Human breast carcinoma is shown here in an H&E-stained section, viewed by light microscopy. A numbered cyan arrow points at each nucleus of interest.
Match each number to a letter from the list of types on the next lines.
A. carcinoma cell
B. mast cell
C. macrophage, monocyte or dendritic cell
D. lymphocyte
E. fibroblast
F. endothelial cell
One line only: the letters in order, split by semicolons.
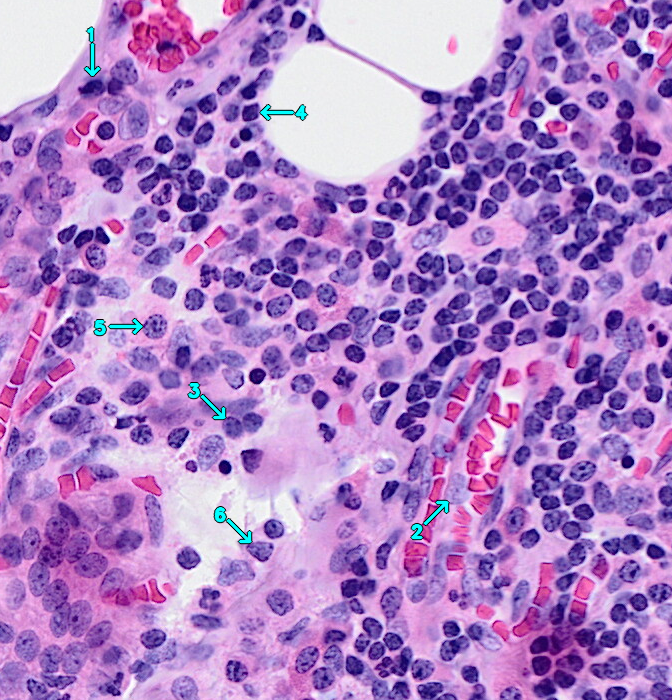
D; F; D; D; B; D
